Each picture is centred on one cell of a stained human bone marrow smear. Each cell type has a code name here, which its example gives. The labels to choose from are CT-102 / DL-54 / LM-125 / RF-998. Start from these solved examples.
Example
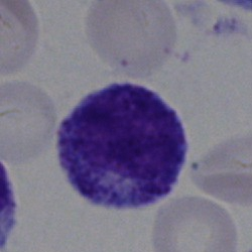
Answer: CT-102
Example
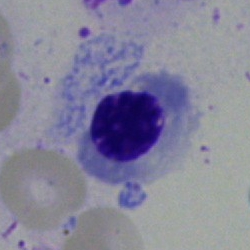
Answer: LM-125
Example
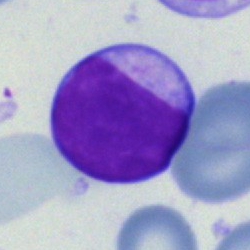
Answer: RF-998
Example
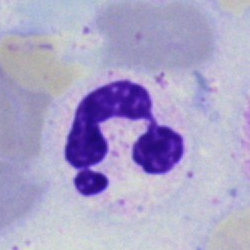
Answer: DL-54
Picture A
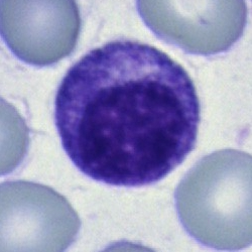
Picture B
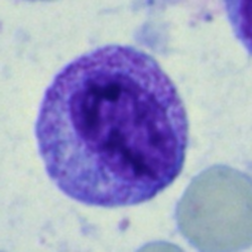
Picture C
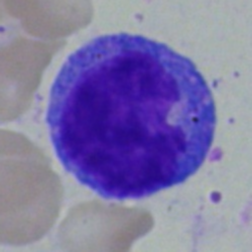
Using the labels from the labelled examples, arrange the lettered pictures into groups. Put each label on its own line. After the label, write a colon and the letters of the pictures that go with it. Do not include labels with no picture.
CT-102: A, B, C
